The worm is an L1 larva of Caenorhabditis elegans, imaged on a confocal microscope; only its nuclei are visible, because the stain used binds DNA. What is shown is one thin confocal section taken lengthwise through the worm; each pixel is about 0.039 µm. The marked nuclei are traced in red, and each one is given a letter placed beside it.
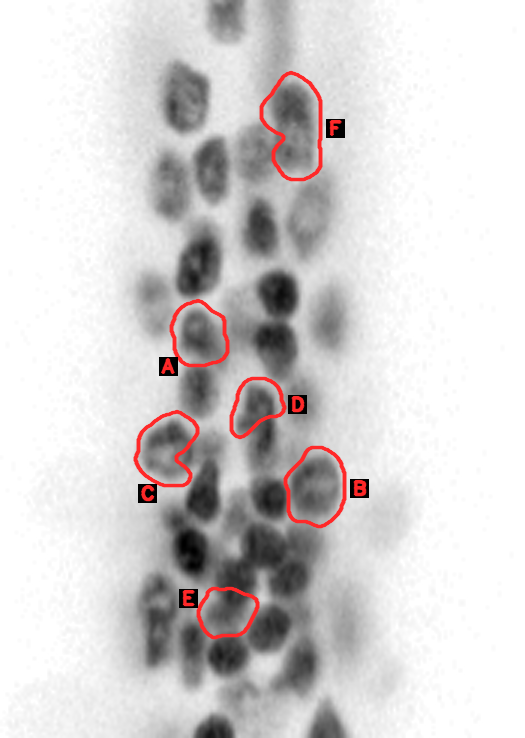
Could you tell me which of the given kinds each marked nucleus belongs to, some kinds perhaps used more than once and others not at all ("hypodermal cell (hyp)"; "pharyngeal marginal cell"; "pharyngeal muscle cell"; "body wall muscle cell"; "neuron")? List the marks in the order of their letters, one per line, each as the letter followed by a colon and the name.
A: hypodermal cell (hyp)
B: body wall muscle cell
C: body wall muscle cell
D: pharyngeal muscle cell
E: neuron
F: body wall muscle cell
